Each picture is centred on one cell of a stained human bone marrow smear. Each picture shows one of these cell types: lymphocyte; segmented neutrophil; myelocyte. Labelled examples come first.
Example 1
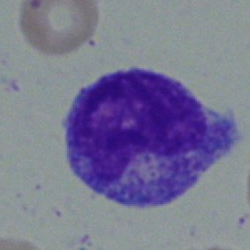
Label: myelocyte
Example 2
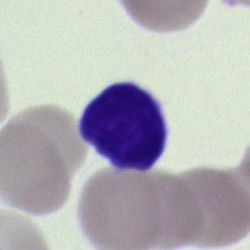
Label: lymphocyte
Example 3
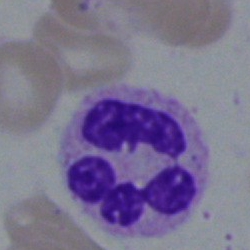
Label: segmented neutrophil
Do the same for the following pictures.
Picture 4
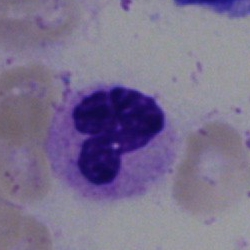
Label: segmented neutrophil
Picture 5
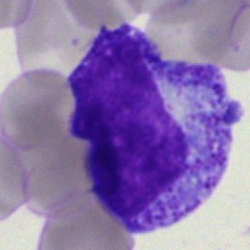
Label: myelocyte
